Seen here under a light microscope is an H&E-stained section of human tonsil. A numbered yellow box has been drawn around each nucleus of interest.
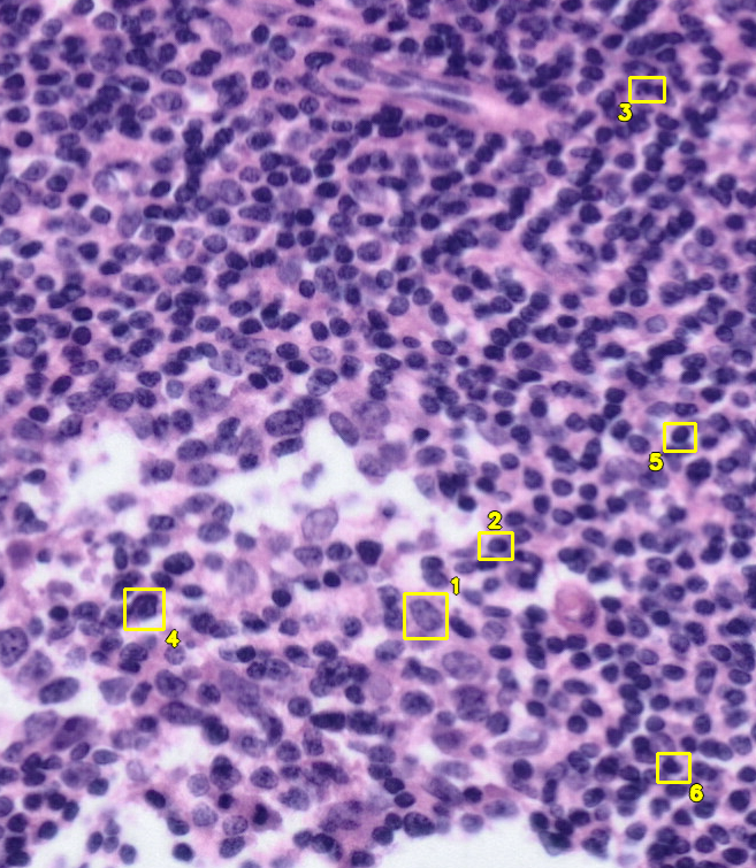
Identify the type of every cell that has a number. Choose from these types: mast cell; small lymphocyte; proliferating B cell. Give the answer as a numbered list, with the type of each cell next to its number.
1. proliferating B cell
2. small lymphocyte
3. small lymphocyte
4. proliferating B cell
5. small lymphocyte
6. small lymphocyte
